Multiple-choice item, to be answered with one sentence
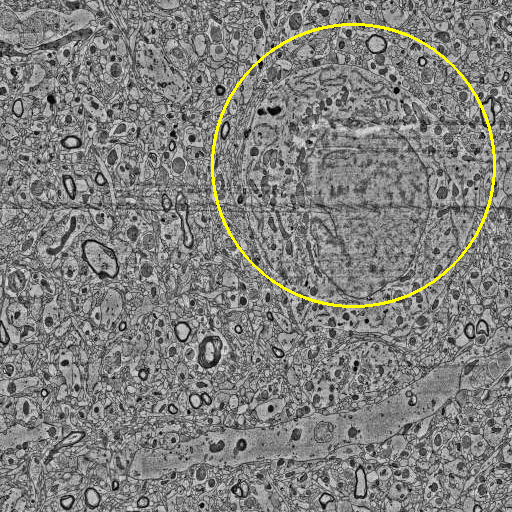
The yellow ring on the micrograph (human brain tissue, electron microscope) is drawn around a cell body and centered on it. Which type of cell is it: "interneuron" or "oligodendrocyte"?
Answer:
The ring is centered on an interneuron.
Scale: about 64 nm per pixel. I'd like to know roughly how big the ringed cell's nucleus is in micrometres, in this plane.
In this plane, about 12 micrometres in length and 8 in width.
